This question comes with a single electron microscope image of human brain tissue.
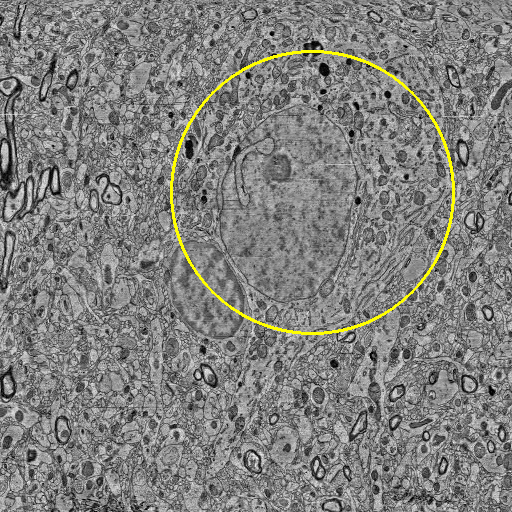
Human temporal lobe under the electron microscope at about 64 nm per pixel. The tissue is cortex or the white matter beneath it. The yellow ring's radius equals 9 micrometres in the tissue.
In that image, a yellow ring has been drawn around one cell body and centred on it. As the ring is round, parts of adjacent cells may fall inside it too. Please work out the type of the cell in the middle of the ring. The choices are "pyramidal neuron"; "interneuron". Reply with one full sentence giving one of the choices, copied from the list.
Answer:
Of the choices, an interneuron is the cell sitting in the middle of the ring.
